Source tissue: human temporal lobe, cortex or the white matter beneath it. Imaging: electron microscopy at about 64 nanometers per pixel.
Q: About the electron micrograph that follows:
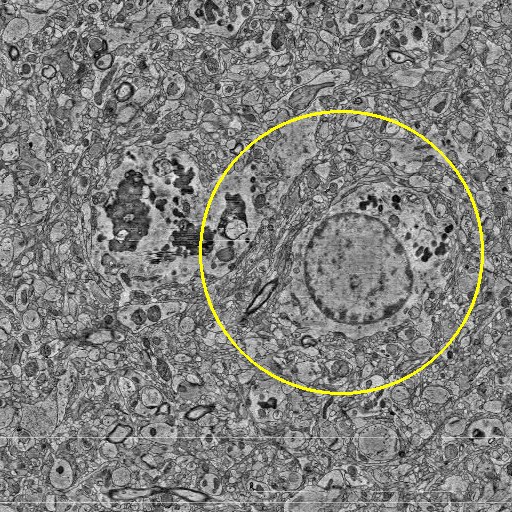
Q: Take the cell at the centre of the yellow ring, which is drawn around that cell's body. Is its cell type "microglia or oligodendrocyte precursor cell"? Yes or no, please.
No, its type is another one.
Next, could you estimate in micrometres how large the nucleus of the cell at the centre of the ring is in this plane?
The nucleus comes to roughly 7 micrometres across in this plane.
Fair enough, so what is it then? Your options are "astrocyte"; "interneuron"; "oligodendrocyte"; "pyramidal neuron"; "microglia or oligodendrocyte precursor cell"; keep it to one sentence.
Instead, what sits at the centre of the ring is an astrocyte.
